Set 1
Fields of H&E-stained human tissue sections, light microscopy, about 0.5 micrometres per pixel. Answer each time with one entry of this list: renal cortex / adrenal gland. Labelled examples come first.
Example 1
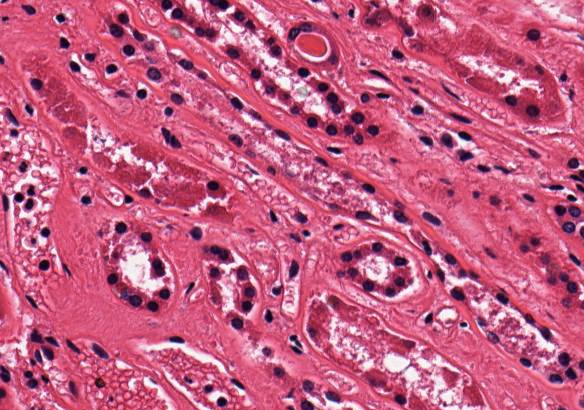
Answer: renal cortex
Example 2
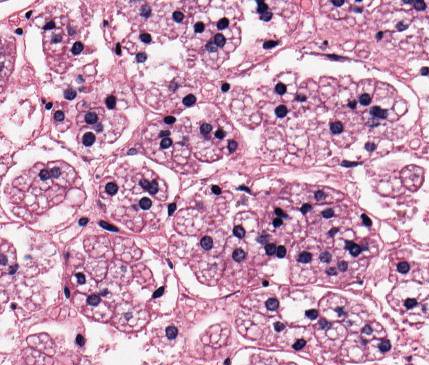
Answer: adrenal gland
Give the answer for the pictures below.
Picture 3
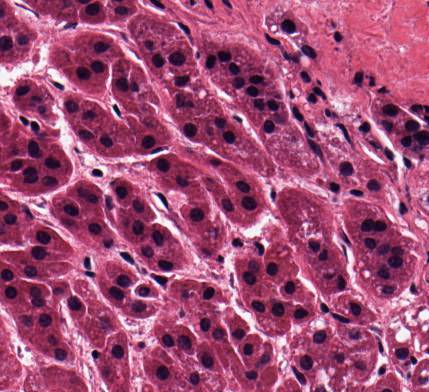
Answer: adrenal gland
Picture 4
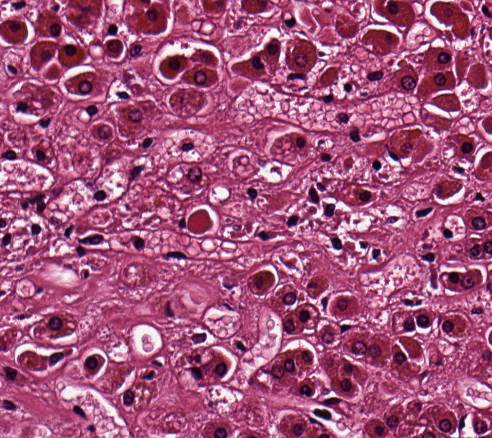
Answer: adrenal gland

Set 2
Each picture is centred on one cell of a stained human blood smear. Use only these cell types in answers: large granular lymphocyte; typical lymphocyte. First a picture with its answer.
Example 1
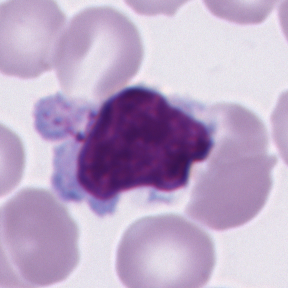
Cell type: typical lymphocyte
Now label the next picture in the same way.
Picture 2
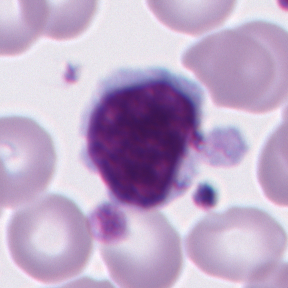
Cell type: typical lymphocyte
